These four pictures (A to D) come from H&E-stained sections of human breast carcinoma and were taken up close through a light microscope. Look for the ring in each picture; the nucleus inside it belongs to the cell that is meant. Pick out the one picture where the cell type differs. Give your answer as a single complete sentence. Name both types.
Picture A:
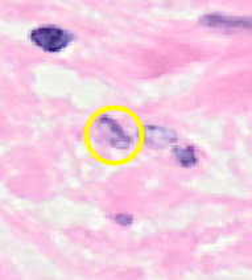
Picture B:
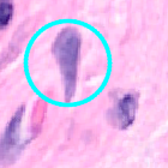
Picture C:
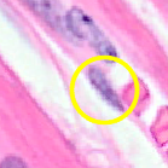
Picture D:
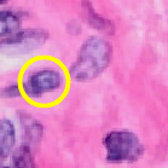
Picture A is the odd one out: it shows a fibroblast, while the others show endothelial cells.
